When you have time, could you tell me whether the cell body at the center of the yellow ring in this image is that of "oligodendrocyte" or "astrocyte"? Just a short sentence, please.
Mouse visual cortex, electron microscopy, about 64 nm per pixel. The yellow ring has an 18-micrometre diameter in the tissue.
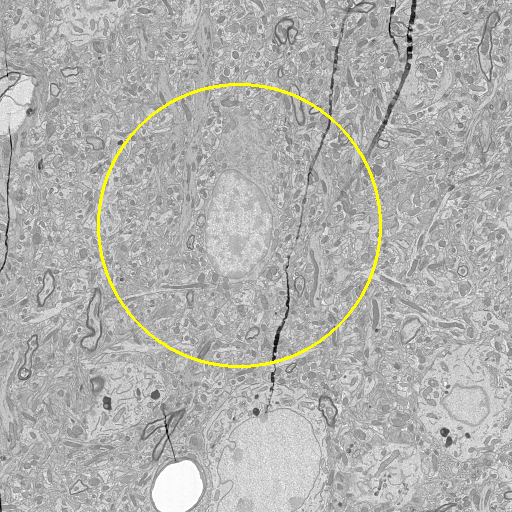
The cell body at the center of the ring is that of an oligodendrocyte.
